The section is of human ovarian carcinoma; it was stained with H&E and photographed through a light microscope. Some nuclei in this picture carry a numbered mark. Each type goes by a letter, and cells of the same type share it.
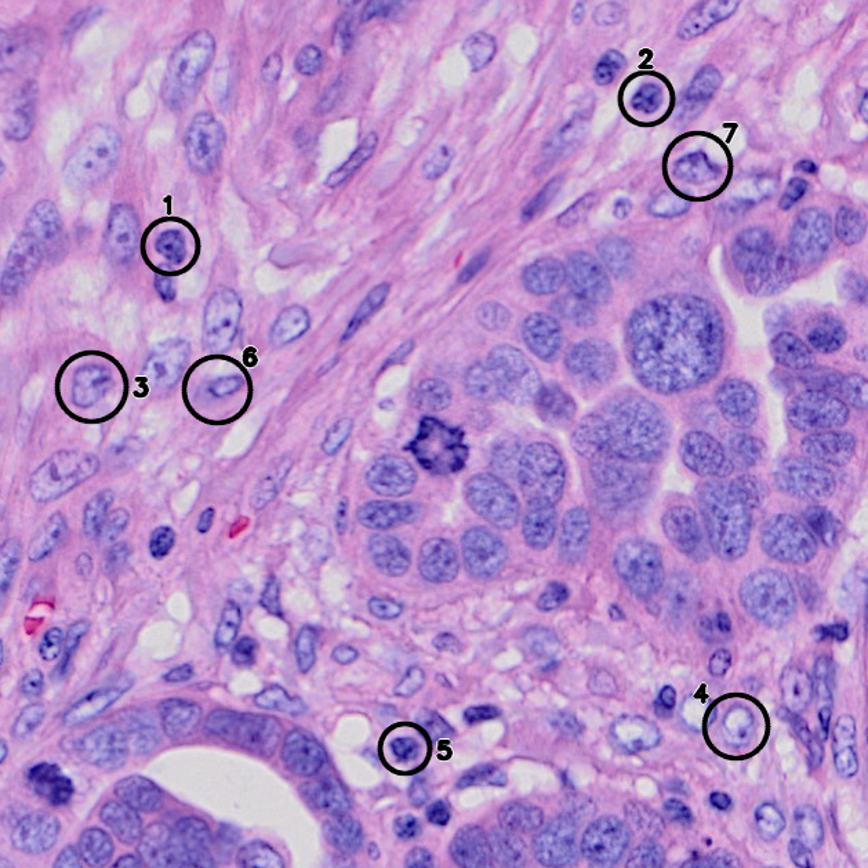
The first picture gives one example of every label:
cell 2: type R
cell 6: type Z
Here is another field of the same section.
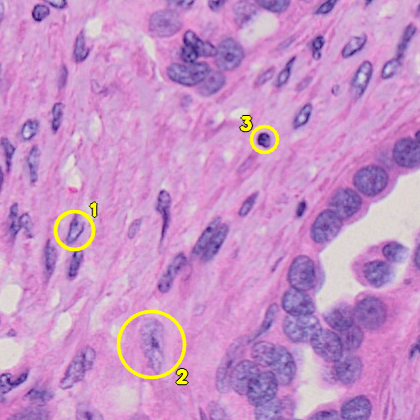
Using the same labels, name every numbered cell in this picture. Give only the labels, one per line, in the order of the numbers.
type Z
type Z
type R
